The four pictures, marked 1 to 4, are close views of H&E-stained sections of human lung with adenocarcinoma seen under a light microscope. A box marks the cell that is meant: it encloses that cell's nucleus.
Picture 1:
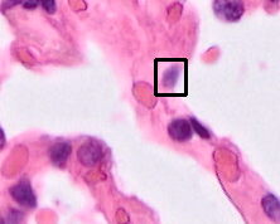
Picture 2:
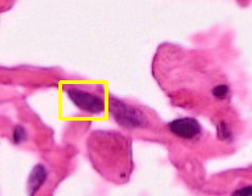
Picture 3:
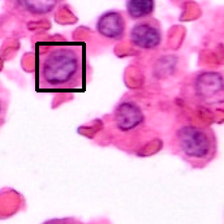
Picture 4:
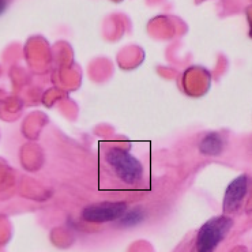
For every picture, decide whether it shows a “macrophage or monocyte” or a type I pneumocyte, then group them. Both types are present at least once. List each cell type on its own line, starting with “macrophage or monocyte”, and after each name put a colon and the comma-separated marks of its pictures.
macrophage or monocyte: 3
type I pneumocyte: 1, 2, 4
